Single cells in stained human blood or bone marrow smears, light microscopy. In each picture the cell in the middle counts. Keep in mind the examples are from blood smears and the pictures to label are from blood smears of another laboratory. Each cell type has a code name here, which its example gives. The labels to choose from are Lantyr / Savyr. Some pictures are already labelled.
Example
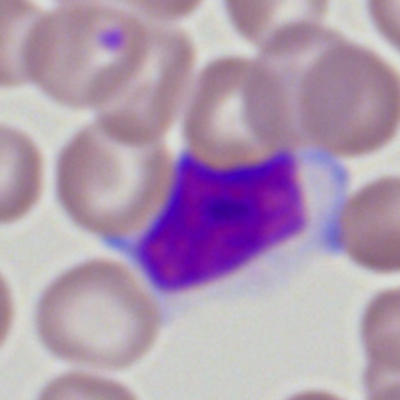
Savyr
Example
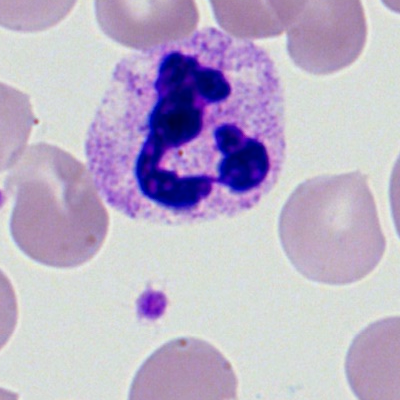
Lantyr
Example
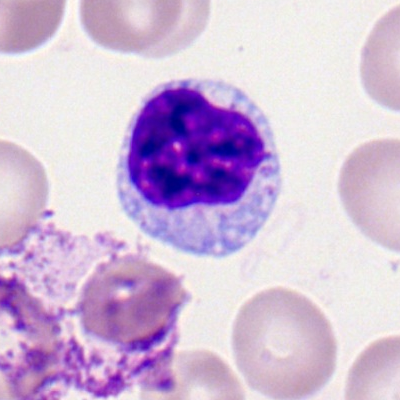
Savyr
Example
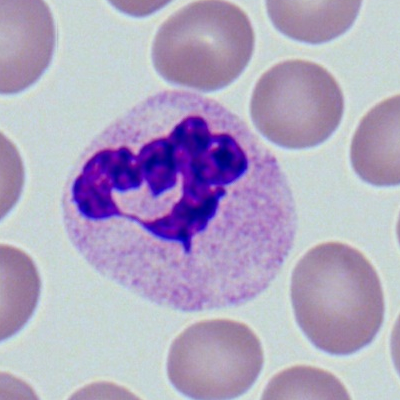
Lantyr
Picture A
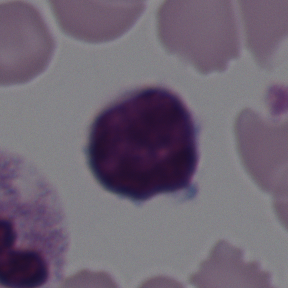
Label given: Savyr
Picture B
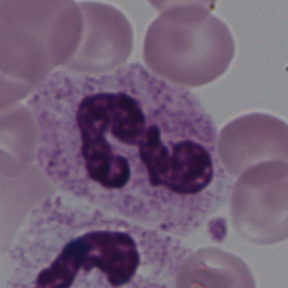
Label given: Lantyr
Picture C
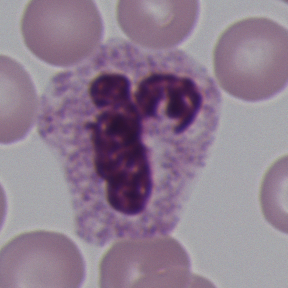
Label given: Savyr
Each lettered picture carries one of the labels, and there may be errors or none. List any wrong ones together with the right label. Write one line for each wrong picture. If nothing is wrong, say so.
Wrong: C (Savyr); correct: Lantyr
